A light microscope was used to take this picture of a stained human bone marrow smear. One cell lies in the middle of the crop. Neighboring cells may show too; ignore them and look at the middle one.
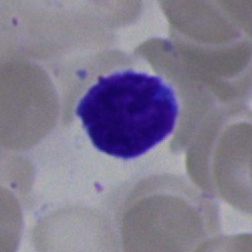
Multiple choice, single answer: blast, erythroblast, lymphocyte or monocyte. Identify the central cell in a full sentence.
Looking at the middle of the crop, the cell there is a lymphocyte.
